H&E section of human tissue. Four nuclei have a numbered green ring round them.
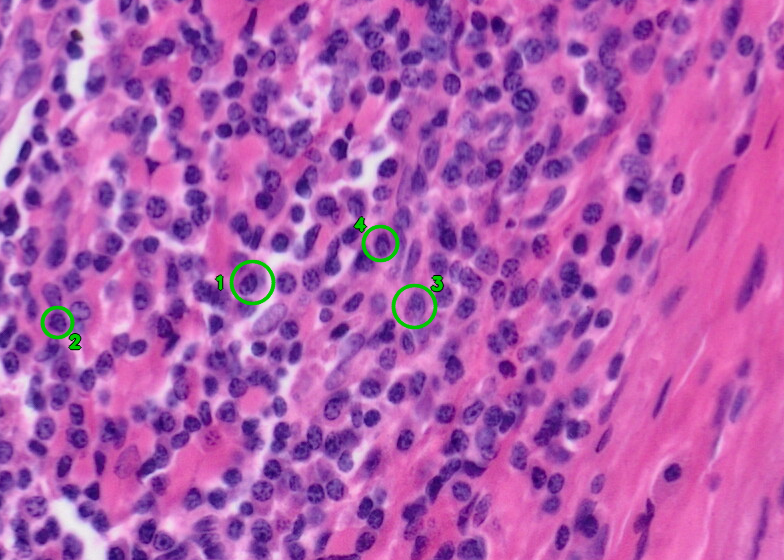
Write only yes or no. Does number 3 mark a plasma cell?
no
